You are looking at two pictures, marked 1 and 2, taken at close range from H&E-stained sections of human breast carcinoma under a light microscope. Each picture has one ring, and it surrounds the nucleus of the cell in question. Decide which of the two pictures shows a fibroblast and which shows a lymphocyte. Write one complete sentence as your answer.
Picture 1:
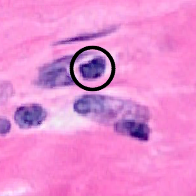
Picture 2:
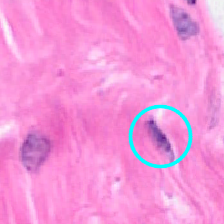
Picture 1 shows a lymphocyte and picture 2 shows a fibroblast.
